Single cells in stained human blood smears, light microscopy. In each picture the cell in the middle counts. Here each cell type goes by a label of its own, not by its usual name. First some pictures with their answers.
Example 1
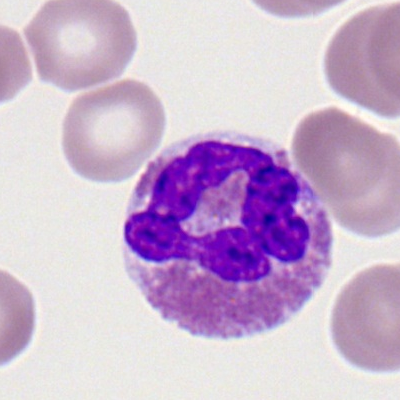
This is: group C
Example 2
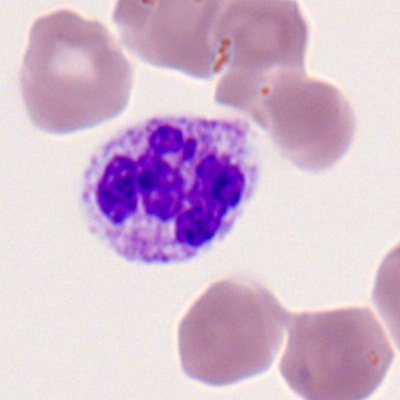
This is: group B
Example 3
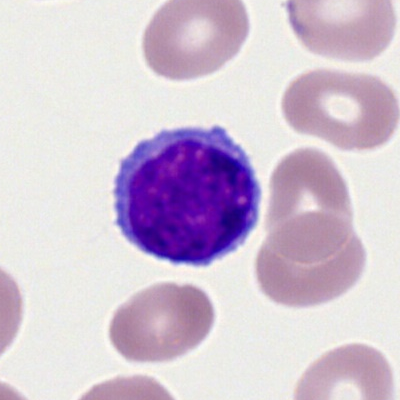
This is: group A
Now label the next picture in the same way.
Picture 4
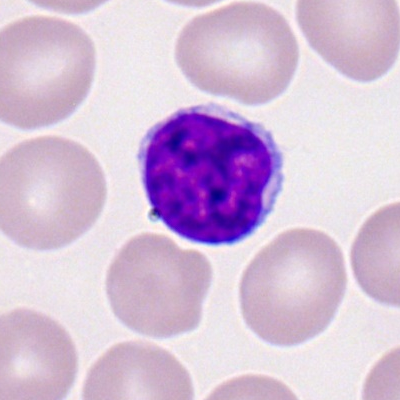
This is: group A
